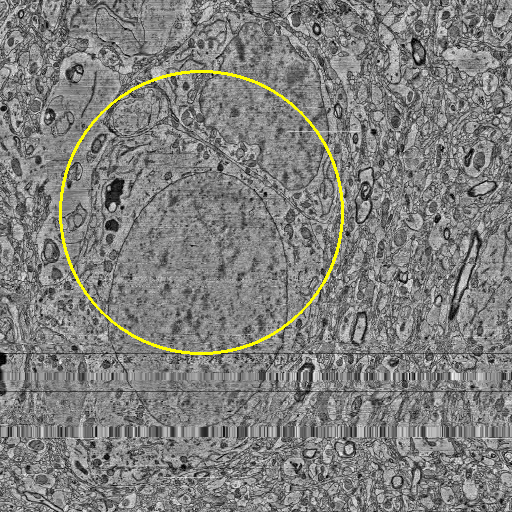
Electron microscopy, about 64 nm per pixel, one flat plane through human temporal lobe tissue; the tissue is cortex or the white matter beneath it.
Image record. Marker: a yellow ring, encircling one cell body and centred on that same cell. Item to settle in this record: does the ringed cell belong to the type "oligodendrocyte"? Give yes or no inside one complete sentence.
No, in the picture, the cell centred within the yellow ring is of a different type.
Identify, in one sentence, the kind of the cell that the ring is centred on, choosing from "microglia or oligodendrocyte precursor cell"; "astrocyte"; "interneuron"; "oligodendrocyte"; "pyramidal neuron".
Instead, the cell inside the ring is a pyramidal neuron.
